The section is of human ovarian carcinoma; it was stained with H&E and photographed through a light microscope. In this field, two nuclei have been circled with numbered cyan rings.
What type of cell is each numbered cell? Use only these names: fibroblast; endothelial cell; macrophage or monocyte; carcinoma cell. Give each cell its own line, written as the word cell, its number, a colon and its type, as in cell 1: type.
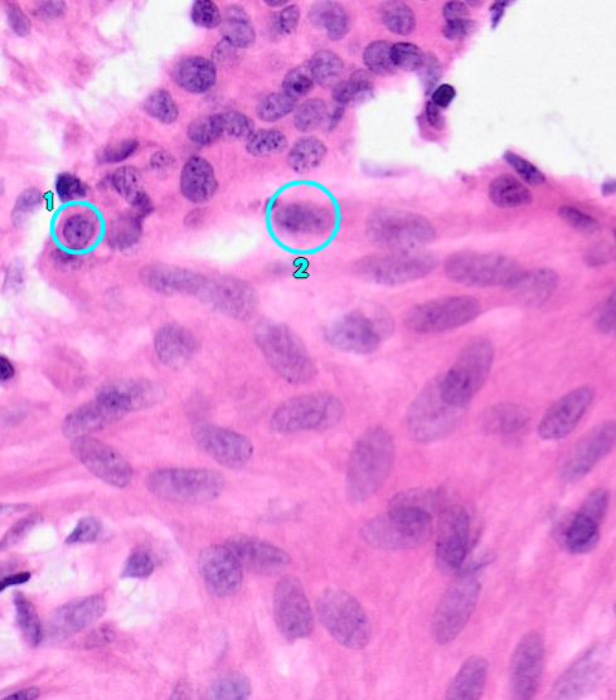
cell 1: carcinoma cell
cell 2: fibroblast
